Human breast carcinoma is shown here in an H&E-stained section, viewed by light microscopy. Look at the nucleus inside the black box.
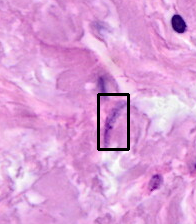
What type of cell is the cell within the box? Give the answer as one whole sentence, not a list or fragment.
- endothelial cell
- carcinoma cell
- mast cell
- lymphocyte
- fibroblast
In cell-type terms, the cell within the box is a fibroblast.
